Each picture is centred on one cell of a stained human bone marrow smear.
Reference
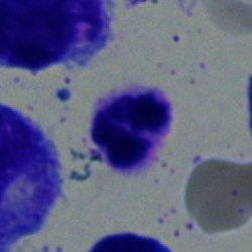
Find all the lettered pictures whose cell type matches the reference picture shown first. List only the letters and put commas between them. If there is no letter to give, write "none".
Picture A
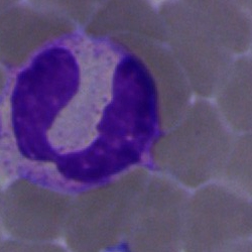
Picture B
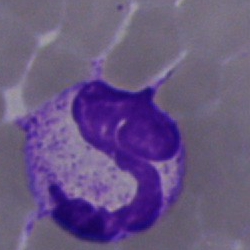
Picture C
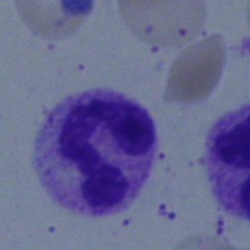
A, B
